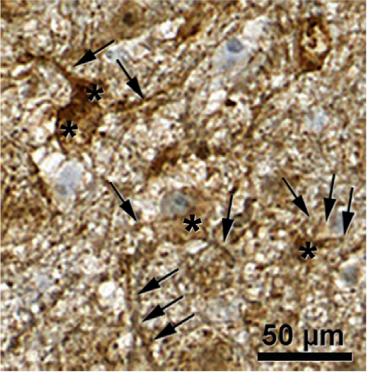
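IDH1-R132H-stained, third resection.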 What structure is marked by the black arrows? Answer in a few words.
Tumor microtube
